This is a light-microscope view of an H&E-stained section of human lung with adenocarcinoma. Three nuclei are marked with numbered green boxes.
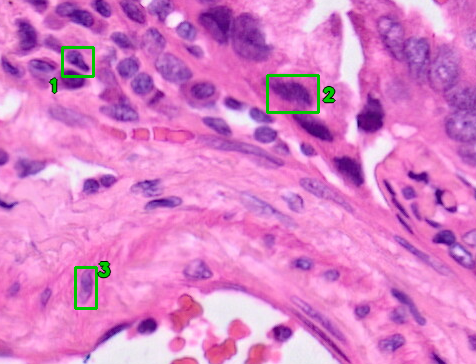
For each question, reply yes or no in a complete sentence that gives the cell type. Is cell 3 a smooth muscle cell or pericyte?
Yes, to put it simply, cell number 3 is a smooth muscle cell or pericyte.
